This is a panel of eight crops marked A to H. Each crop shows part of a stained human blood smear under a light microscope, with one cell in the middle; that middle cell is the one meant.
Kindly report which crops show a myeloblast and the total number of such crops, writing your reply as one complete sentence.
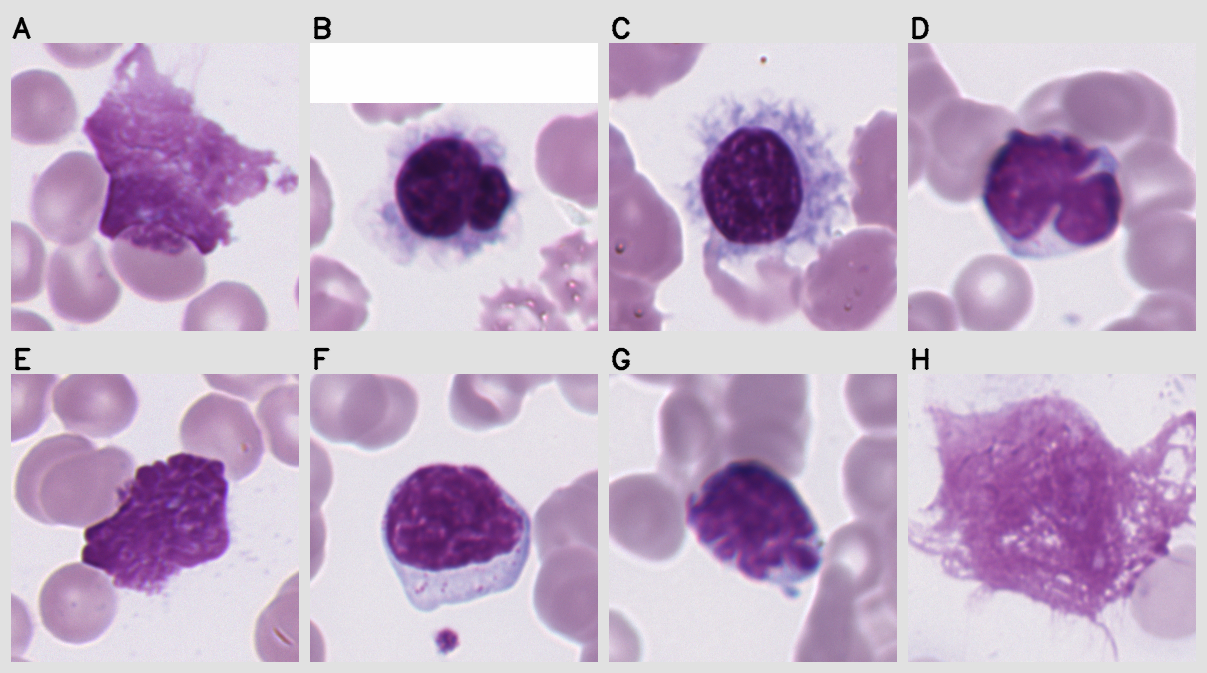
The absence of myeloblasts from all crops means the count is zero.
